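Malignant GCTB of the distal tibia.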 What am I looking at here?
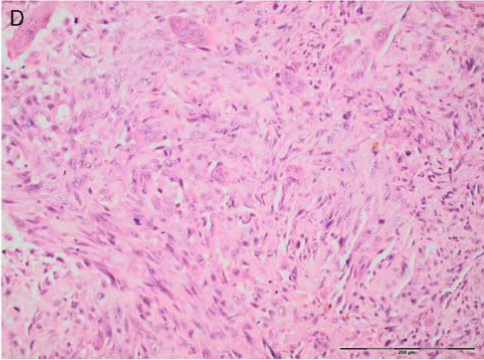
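Densely cellular tumour of elongated spindle cells arranged in crossing fascicles, with several multinucleated giant cells scattered between them. The spindle cells have tapered, variably sized and darker nuclei and pale pink cytoplasm; the giant cells are larger, with pink cytoplasm and clustered nuclei.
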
